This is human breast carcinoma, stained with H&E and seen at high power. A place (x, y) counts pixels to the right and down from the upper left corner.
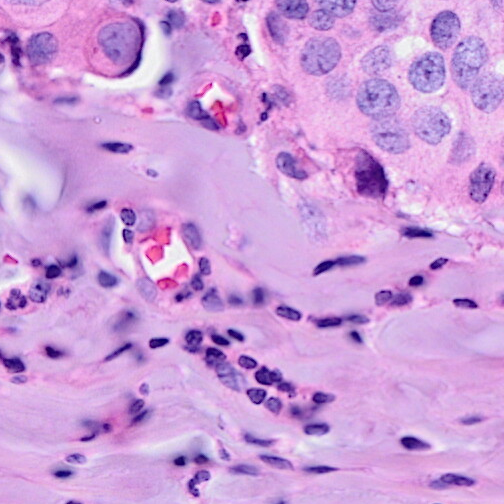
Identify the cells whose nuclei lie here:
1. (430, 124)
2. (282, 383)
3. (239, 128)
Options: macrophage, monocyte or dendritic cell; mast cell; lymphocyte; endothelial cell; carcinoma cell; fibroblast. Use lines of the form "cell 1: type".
cell 1: carcinoma cell
cell 2: lymphocyte
cell 3: endothelial cell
